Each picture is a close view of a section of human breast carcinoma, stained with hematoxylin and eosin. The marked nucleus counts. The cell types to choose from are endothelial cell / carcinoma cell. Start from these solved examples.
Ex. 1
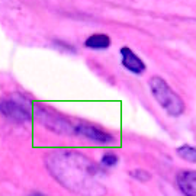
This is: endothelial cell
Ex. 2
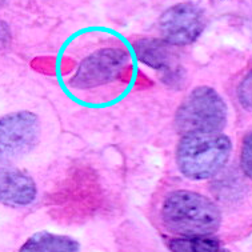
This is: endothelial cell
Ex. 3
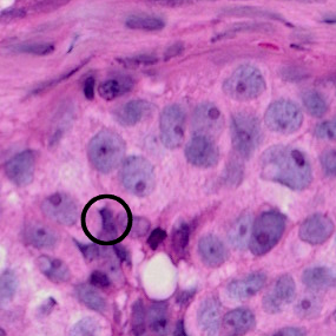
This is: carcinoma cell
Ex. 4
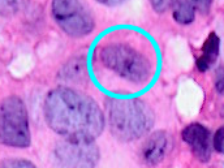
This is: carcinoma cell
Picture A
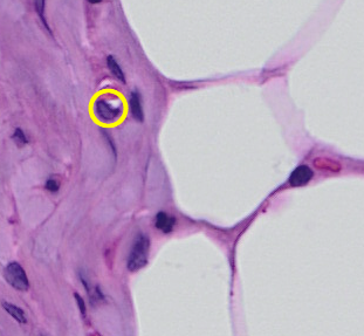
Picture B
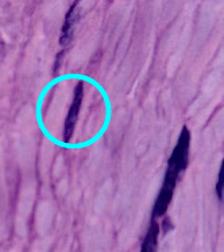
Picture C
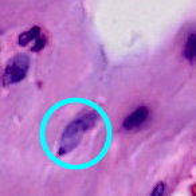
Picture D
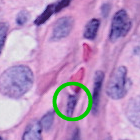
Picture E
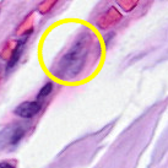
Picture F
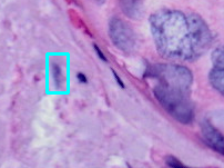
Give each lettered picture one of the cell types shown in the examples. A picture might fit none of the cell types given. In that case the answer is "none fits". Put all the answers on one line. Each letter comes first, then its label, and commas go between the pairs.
A endothelial cell, B none fits, C none fits, D endothelial cell, E endothelial cell, F none fits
